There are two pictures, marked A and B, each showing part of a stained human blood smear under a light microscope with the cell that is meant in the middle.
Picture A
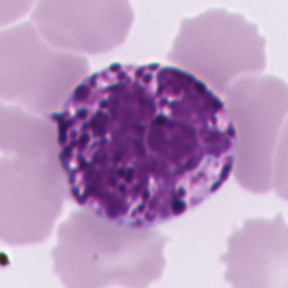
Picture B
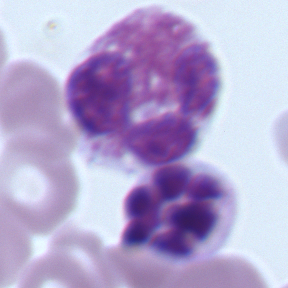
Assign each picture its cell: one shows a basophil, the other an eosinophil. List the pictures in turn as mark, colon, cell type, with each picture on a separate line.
A: basophil
B: eosinophil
